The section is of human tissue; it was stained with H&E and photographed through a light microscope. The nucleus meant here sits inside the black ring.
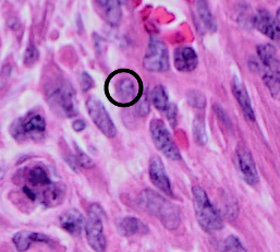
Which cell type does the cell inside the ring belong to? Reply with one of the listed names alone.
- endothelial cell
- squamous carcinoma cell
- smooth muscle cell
endothelial cell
